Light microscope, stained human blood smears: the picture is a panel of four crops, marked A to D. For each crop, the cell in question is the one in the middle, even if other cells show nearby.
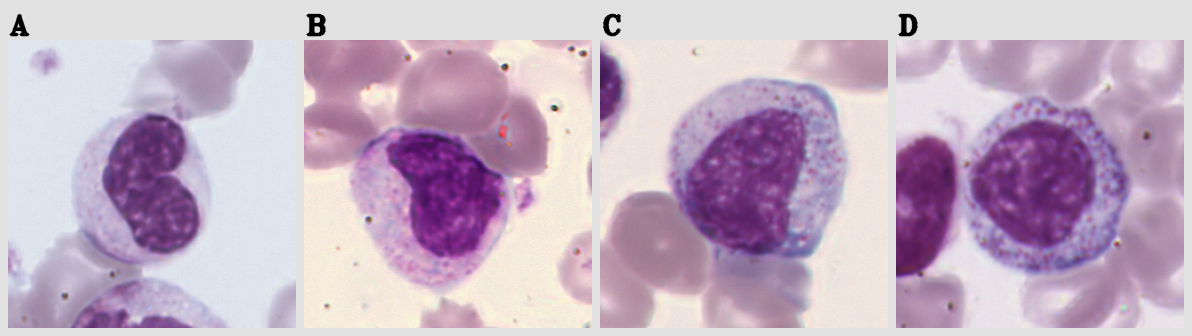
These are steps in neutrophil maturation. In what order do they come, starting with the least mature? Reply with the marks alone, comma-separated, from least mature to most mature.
C, D, B, A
